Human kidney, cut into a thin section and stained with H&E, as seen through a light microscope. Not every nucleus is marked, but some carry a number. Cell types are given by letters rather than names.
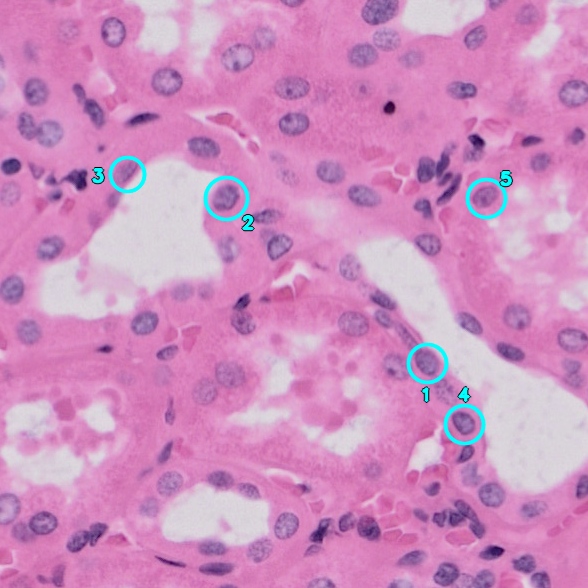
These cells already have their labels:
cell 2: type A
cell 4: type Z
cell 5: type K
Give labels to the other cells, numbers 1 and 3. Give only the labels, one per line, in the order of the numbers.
type Z
type A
